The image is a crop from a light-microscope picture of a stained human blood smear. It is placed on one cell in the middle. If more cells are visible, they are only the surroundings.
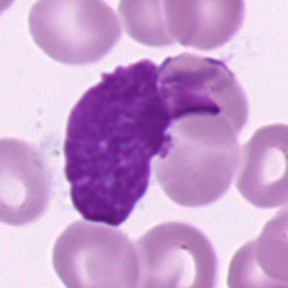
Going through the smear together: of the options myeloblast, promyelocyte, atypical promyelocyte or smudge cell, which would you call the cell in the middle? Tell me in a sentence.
Whatever else lies nearby, the middle cell is a smudge cell.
